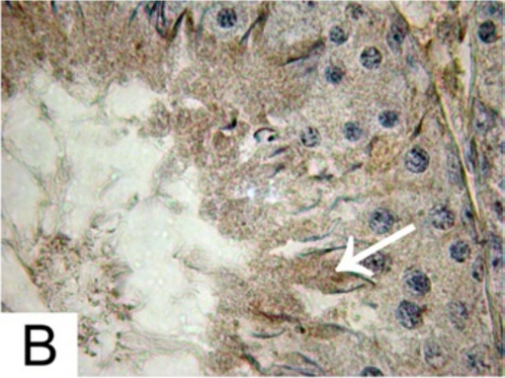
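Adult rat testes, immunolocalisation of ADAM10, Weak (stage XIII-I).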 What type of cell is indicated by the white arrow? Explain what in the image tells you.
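Brown-stained cytoplasm surrounds the elongated nucleus. Round nuclei of other germ cells lie nearer the tubule wall. The answer: elongating spermatids.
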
